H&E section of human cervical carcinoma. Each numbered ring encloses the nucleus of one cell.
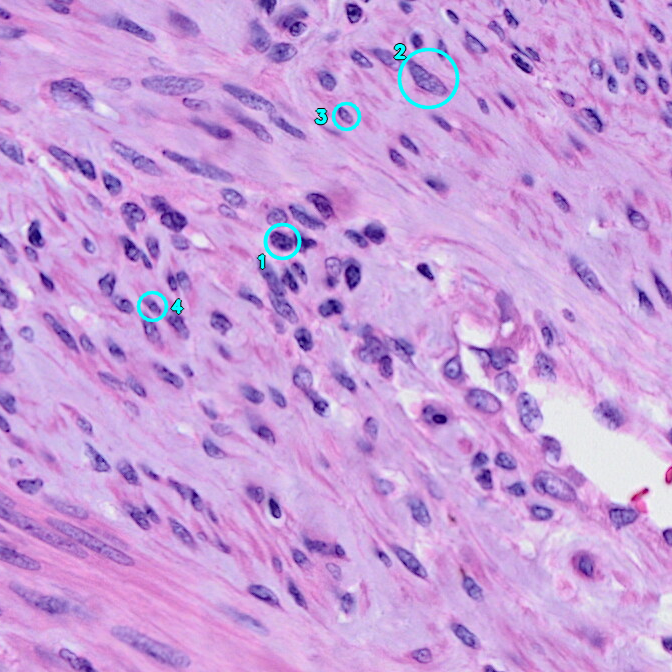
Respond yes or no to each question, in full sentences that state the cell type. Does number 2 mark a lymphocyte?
No, cell number 2 is a smooth muscle cell; it is not a lymphocyte.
